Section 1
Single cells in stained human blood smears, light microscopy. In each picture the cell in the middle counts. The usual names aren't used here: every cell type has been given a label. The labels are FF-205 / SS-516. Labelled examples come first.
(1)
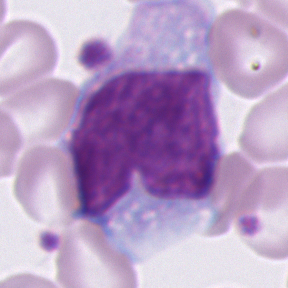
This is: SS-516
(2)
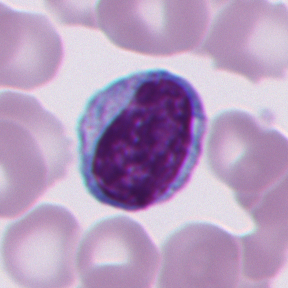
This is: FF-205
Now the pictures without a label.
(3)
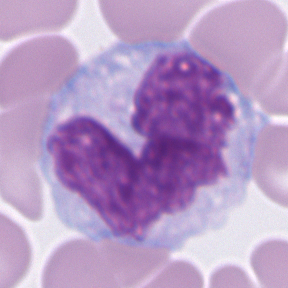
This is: SS-516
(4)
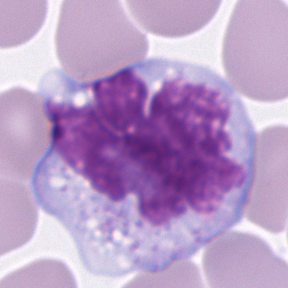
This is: SS-516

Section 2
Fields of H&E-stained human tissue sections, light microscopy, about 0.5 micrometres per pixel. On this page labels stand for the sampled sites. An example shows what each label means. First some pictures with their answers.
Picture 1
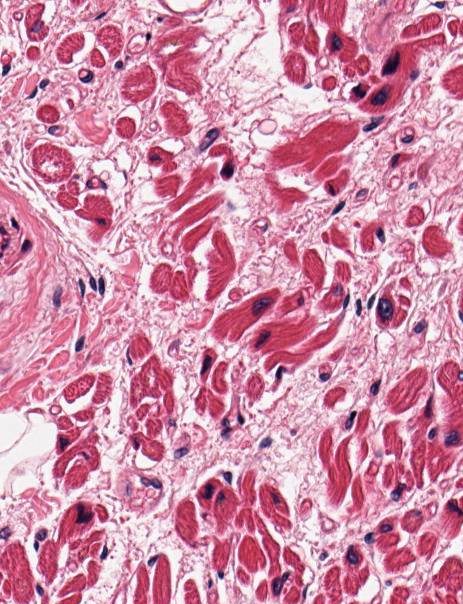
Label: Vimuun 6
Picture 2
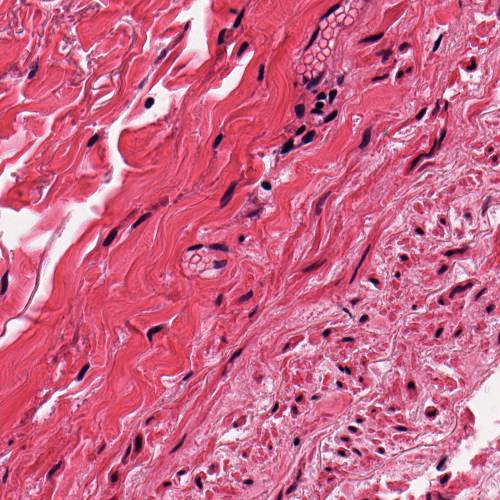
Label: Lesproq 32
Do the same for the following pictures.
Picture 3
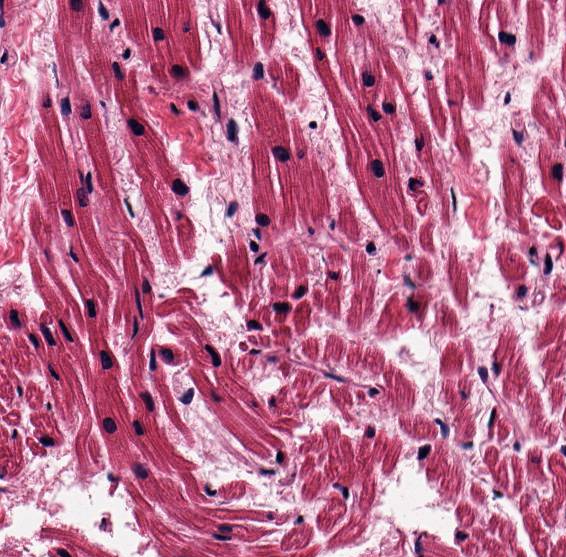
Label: Vimuun 6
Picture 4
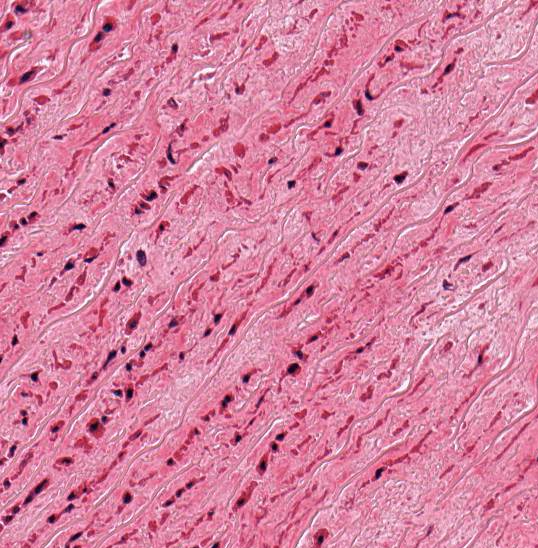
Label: Lesproq 32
